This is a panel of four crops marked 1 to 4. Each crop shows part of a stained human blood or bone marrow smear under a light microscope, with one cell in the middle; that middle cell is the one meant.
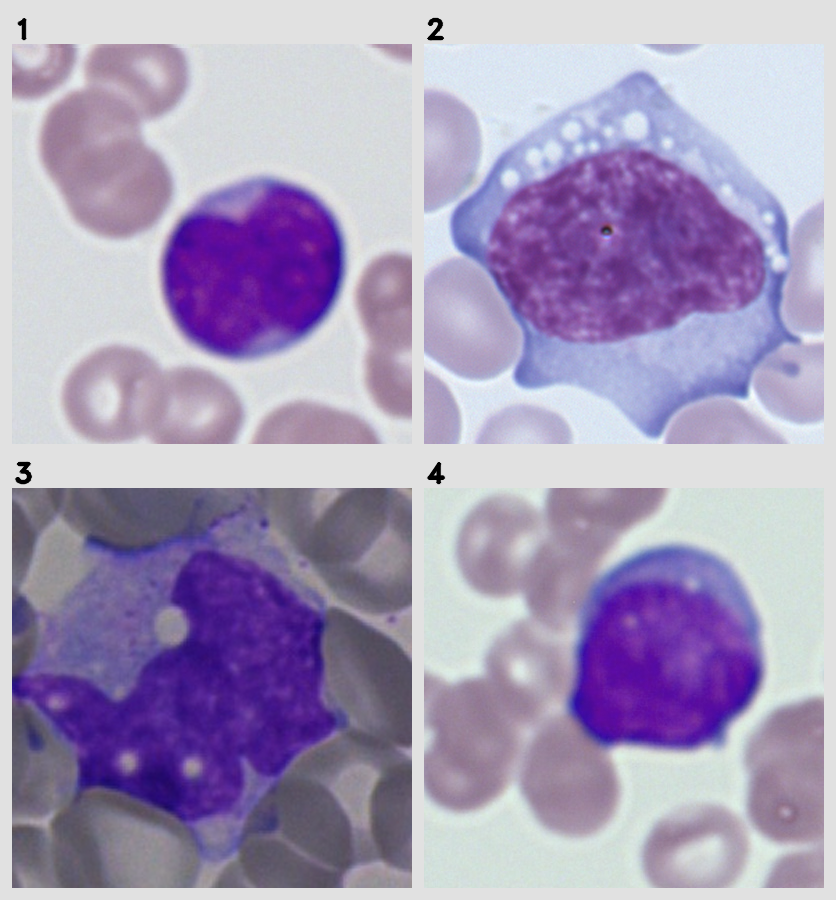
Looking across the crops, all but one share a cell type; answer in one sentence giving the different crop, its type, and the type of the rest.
The one crop not showing blasts is crop 3, which shows a monocyte.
